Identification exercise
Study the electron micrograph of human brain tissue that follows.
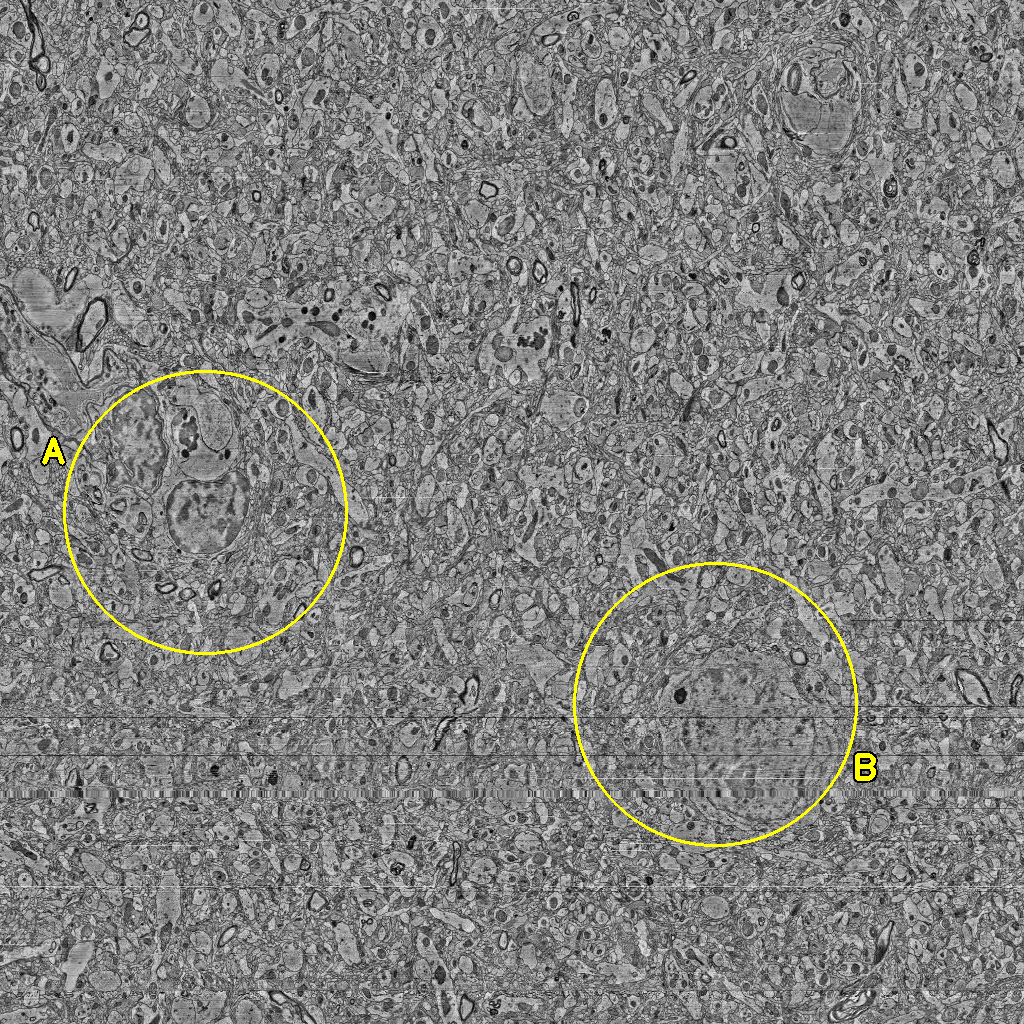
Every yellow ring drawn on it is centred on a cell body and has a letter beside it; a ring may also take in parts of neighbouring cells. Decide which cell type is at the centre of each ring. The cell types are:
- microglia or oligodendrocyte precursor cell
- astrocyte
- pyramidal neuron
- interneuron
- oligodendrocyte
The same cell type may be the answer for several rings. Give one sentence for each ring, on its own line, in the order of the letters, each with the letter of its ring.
Ring A encircles a microglial cell or oligodendrocyte precursor cell.
Ring B encircles an interneuron.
